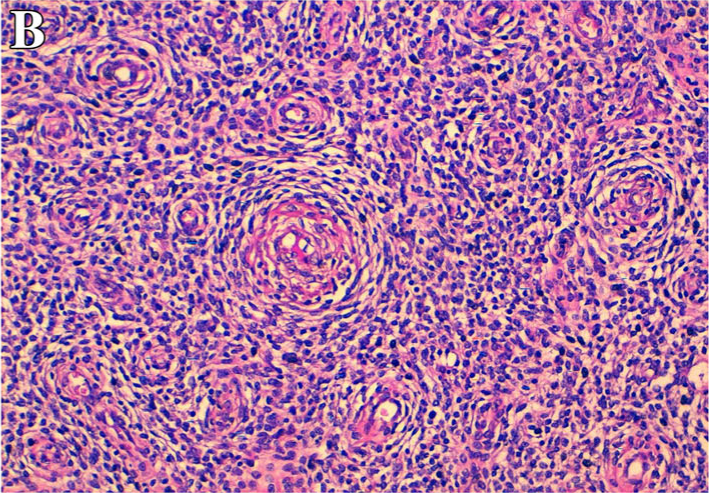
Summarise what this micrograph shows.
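A densely cellular tumor is composed of round to spindle cells with oval, dark-staining nuclei and scant pale pink cytoplasm, packed closely together. Scattered throughout the field are numerous small vessels, lying close to one another, with thick pink walls that in places look glassy. Around many of these vessels the spindle cells are arranged in concentric layers, forming conspicuous whorls, the largest near the center of the field. Between the whorls the cells lie in sheets without glands.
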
